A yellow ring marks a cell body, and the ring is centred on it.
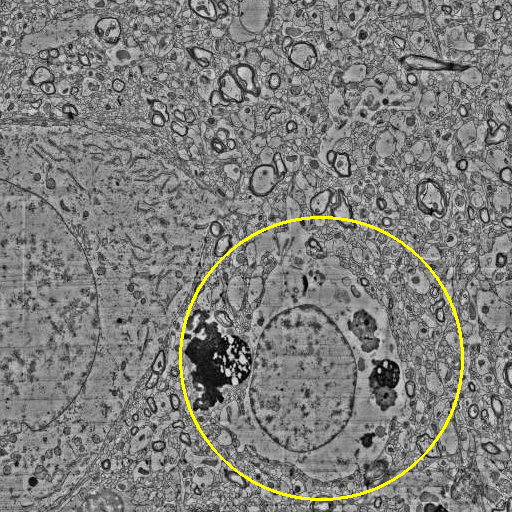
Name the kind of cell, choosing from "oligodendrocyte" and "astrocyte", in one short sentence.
The marked cell body belongs to an astrocyte.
